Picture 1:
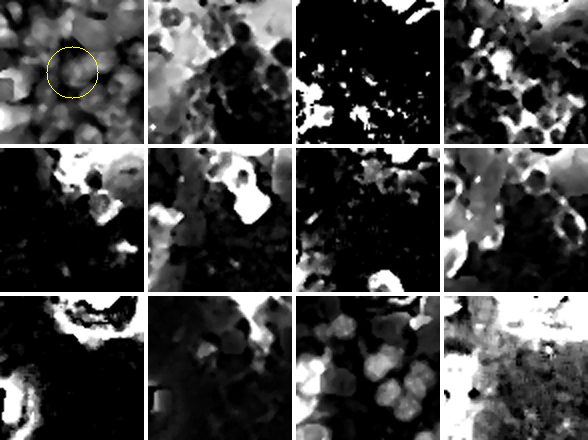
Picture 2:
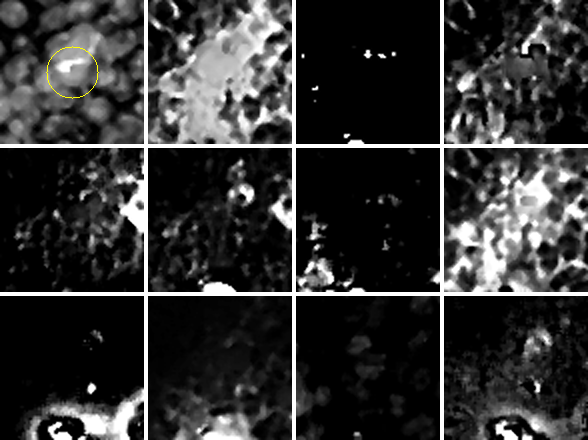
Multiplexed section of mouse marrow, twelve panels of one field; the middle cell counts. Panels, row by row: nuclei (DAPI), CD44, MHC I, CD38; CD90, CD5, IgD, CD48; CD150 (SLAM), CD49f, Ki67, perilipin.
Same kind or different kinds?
Different: the first is a capillary endothelial cell, the second an erythroblast.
